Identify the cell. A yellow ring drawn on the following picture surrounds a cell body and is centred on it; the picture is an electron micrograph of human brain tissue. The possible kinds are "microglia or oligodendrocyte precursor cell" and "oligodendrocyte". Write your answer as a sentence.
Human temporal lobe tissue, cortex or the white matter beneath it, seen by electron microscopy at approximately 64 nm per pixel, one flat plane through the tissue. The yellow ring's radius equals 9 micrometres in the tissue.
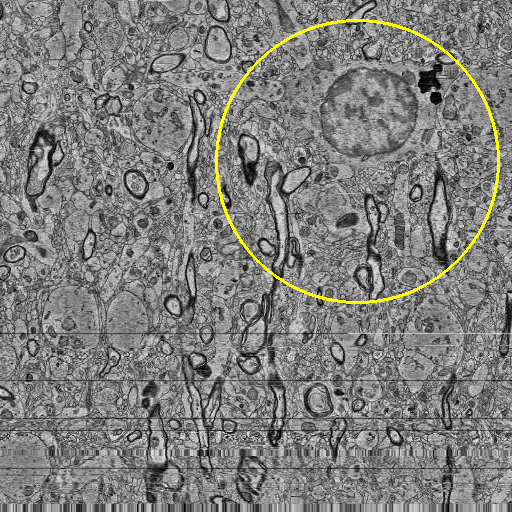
The cell identified by the ring is an oligodendrocyte.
